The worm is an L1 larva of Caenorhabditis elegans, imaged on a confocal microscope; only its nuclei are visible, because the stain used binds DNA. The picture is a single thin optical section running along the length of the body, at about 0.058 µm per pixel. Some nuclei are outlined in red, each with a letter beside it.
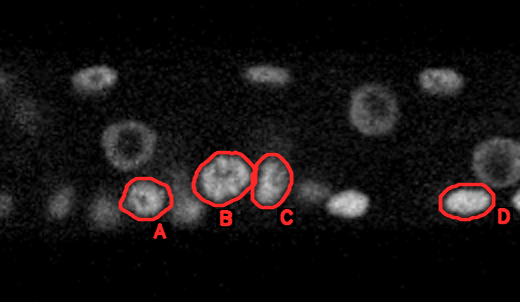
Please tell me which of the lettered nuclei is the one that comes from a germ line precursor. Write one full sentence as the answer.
B is the one that belongs to a germ line precursor.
